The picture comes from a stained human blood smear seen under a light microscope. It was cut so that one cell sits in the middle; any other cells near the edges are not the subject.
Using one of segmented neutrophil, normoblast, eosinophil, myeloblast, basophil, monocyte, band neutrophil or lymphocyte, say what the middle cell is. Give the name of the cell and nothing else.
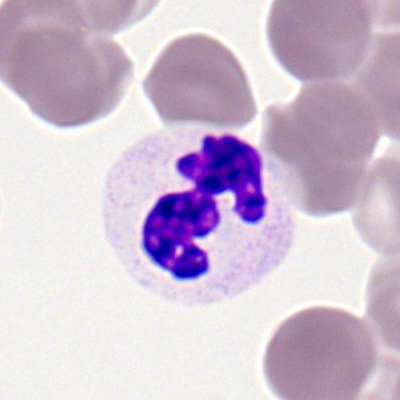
segmented neutrophil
